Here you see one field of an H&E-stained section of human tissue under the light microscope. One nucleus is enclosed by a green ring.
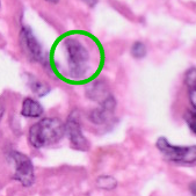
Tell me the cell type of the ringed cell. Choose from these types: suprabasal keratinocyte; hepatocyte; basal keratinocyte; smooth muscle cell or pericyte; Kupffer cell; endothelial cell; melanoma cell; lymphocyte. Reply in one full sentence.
This is a melanoma cell.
